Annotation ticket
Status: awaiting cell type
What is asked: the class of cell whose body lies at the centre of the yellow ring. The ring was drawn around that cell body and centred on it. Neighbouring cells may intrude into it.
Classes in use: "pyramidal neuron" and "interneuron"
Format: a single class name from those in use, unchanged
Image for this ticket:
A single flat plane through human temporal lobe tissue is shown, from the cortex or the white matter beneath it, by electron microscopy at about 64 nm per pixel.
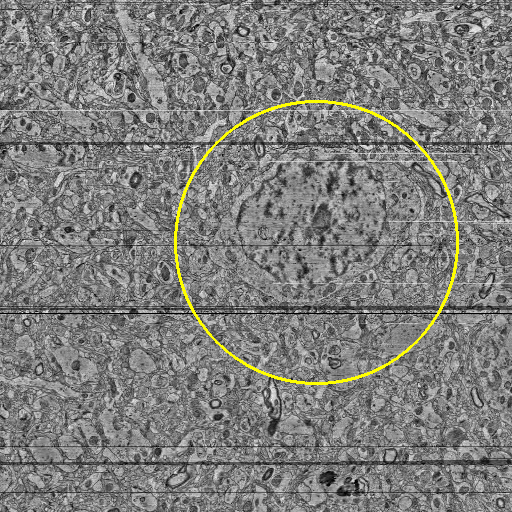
interneuron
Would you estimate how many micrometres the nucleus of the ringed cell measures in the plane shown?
The ringed cell's nucleus is about 10 micrometres long and 9 micrometres wide in this plane.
